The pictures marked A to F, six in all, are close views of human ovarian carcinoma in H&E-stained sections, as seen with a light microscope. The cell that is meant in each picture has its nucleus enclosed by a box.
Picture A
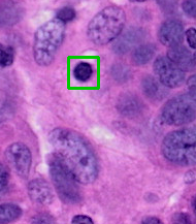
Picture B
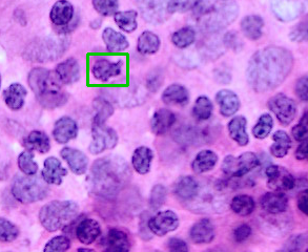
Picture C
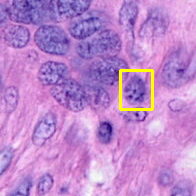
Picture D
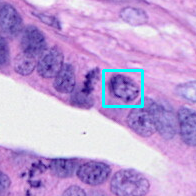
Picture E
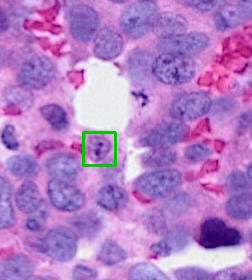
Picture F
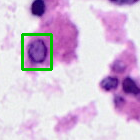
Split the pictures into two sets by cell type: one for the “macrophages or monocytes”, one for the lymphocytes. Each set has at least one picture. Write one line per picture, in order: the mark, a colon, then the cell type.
A: lymphocyte
B: lymphocyte
C: macrophage or monocyte
D: macrophage or monocyte
E: macrophage or monocyte
F: macrophage or monocyte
